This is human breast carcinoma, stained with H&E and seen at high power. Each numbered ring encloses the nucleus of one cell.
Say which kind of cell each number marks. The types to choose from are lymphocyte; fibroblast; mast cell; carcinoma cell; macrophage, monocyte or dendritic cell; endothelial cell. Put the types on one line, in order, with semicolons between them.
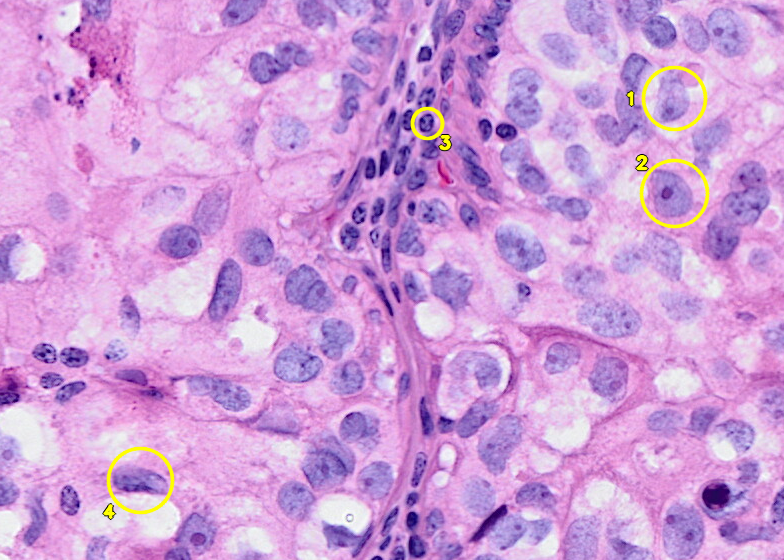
carcinoma cell; carcinoma cell; lymphocyte; carcinoma cell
